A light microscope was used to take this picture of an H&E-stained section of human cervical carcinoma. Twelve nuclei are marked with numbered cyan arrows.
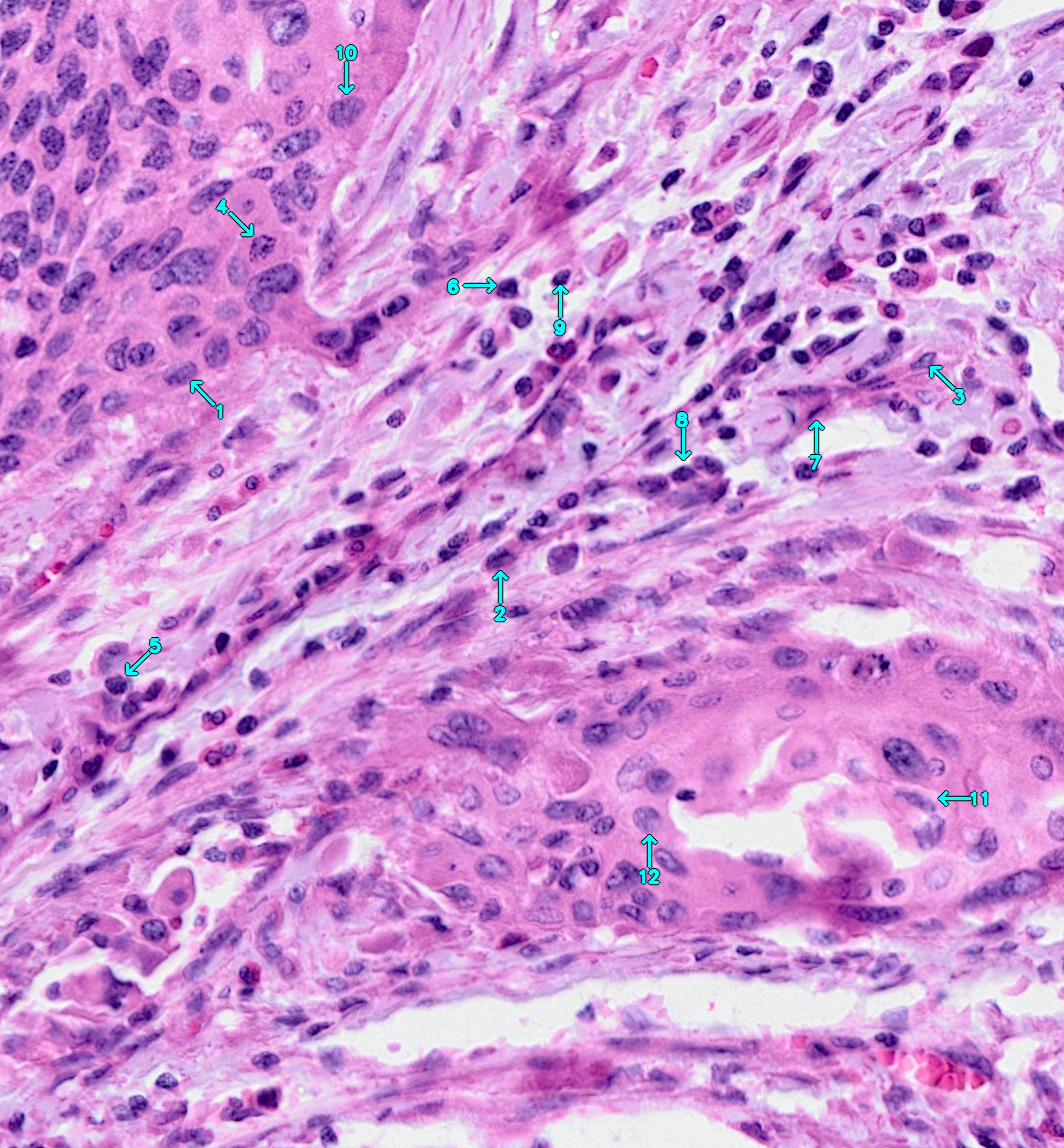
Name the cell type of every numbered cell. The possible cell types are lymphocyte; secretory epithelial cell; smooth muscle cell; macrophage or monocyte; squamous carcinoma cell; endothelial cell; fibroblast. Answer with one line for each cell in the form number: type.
1: squamous carcinoma cell
2: macrophage or monocyte
3: endothelial cell
4: squamous carcinoma cell
5: lymphocyte
6: lymphocyte
7: endothelial cell
8: lymphocyte
9: lymphocyte
10: squamous carcinoma cell
11: squamous carcinoma cell
12: squamous carcinoma cell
